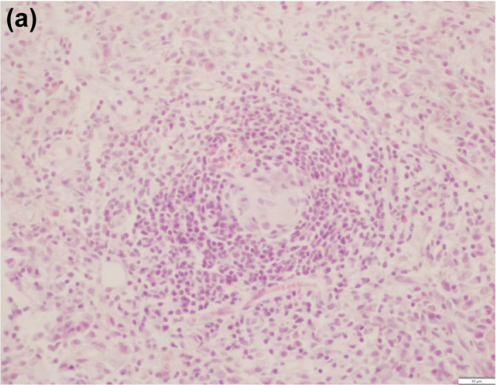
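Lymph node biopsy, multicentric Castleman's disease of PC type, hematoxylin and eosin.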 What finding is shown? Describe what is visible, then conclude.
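Small dark round nuclei form rings around a central pale focus. The rings are layered around the middle of the follicle.
Arranged in concentric circles.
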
